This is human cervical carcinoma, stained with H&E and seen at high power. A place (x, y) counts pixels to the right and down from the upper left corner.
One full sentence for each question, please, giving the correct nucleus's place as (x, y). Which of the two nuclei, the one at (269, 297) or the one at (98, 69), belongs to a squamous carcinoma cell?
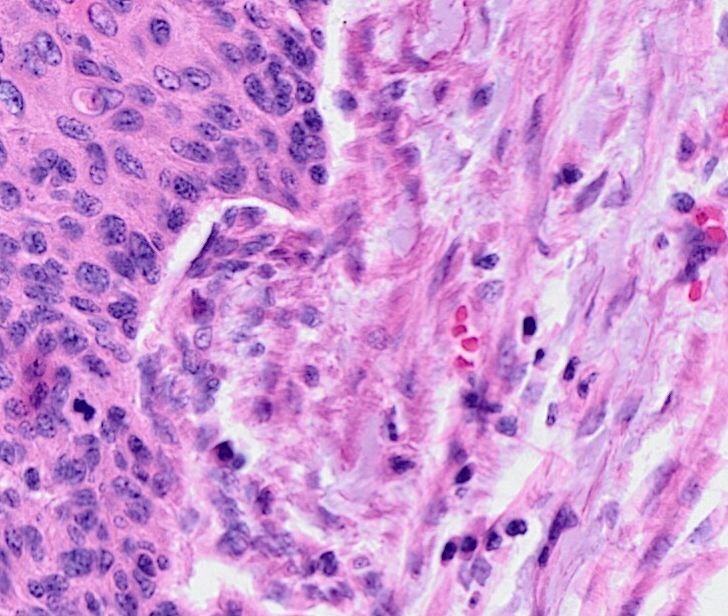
Between the pair, the nucleus at (98, 69) belongs to a squamous carcinoma cell.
